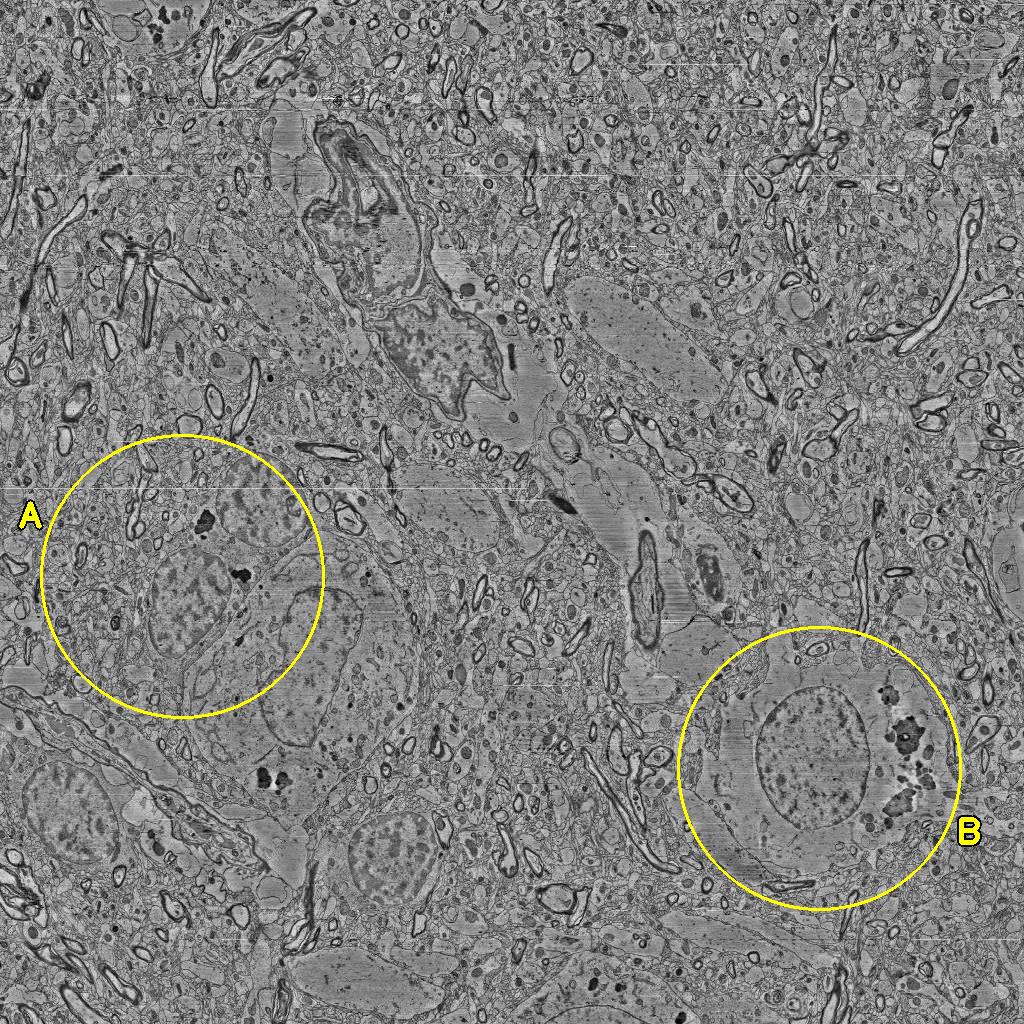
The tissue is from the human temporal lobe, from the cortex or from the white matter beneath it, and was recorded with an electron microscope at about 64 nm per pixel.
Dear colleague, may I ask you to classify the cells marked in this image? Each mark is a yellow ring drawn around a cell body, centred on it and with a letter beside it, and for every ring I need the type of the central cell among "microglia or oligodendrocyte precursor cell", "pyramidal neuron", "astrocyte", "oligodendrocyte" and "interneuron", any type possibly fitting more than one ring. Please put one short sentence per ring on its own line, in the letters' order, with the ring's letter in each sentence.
Ring A contains an oligodendrocyte at its centre.
Ring B contains an astrocyte at its centre.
